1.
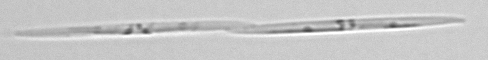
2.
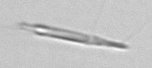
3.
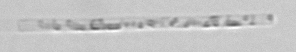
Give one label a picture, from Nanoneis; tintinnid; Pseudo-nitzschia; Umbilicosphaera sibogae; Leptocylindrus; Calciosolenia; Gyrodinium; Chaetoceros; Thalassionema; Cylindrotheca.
1. Pseudo-nitzschia
2. Calciosolenia
3. Leptocylindrus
